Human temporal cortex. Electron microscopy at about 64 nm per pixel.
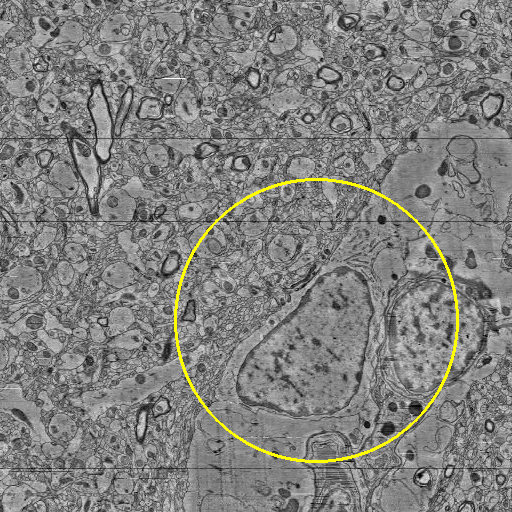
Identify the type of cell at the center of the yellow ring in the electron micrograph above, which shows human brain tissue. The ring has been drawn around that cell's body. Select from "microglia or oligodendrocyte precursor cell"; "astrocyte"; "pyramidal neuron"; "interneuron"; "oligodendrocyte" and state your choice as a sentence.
The yellow ring is centered on the body of a microglial cell or oligodendrocyte precursor cell.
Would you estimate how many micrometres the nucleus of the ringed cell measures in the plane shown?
The nucleus comes to approximately 11 by 7 micrometres and is clearly longer than it is wide in this plane.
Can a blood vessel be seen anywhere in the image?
Yes, a blood vessel can be seen.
